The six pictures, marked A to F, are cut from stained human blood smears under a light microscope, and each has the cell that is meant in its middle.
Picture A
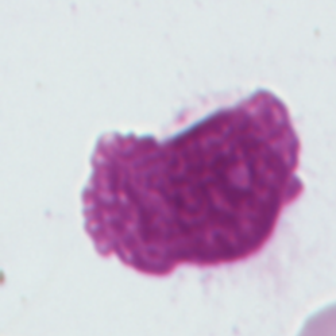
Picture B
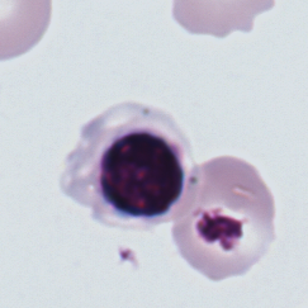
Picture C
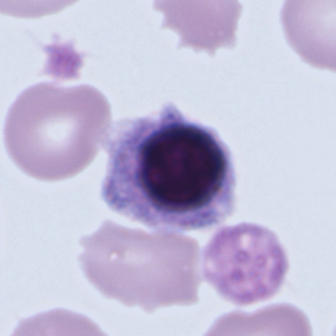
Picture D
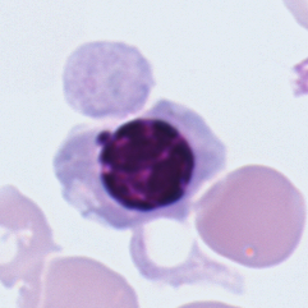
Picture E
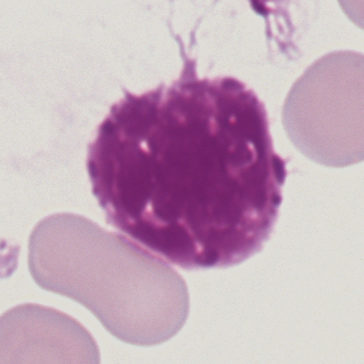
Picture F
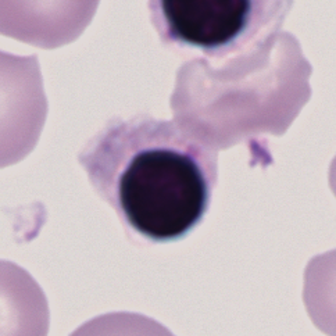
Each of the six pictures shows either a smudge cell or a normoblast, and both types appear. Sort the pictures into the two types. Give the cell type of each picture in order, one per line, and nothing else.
smudge cell
normoblast
normoblast
normoblast
smudge cell
normoblast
